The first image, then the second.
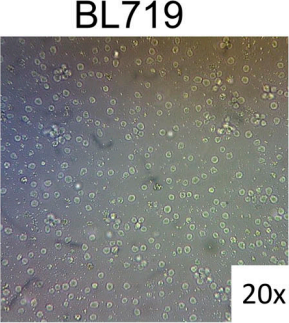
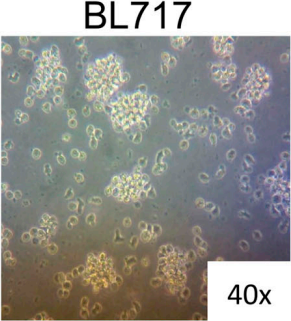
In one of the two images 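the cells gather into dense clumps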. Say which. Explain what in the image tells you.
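The second image. First image: round cells lie singly and evenly scattered. Second image: round cells are packed into several tight clumps.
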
